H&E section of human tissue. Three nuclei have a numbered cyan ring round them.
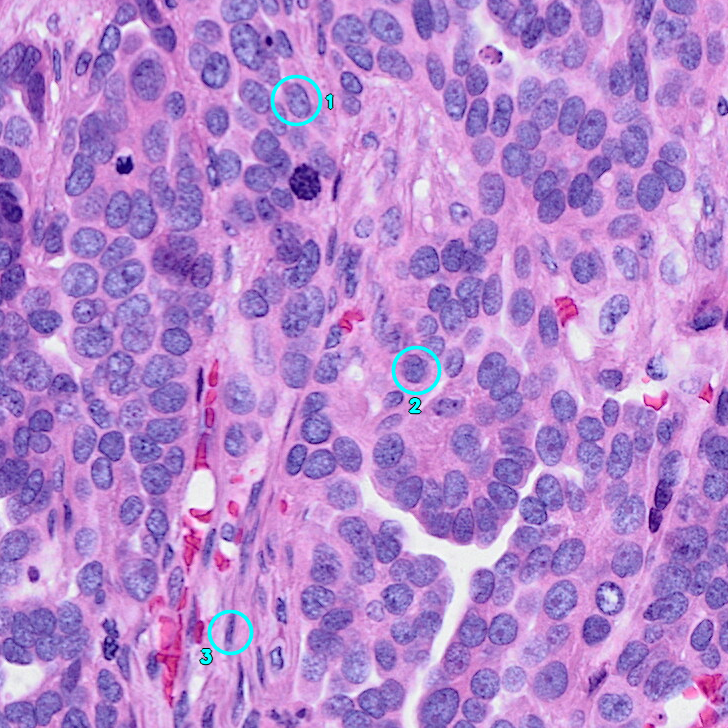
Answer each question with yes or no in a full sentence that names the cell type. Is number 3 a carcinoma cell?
No, number 3 corresponds to a fibroblast, not a carcinoma cell.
